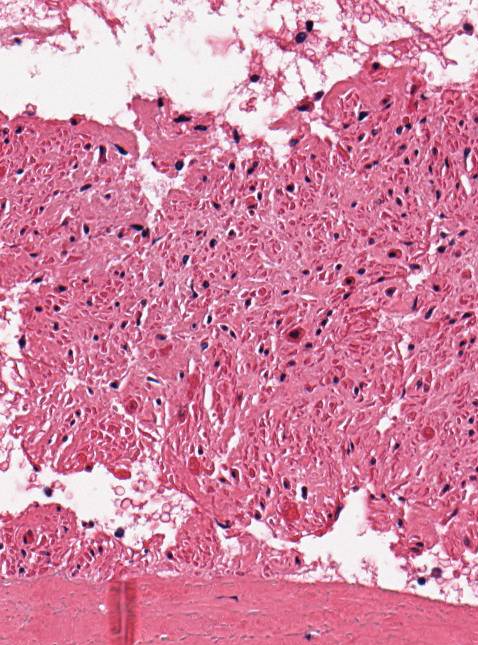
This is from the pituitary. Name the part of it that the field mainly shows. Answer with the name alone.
neurohypophysis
